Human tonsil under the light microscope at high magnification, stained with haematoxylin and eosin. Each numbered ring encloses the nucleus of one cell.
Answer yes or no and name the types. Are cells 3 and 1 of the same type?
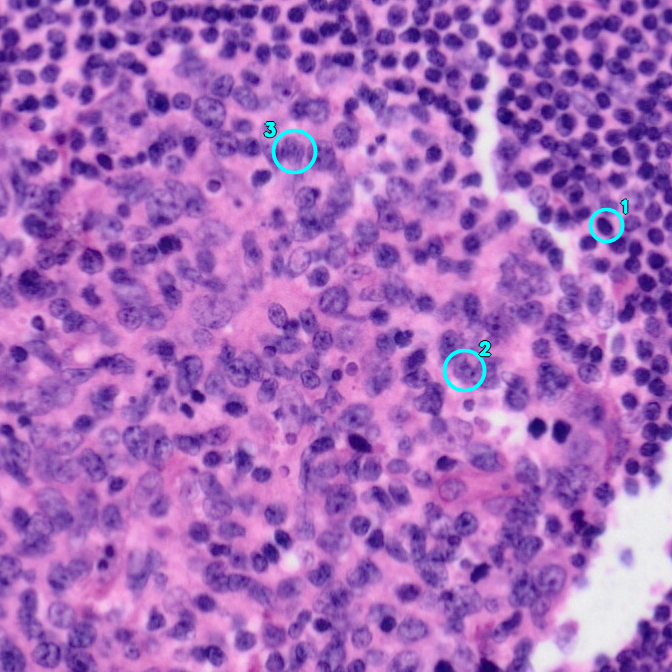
No; cell 3 is a proliferating B cell, and cell 1 is a small lymphocyte.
